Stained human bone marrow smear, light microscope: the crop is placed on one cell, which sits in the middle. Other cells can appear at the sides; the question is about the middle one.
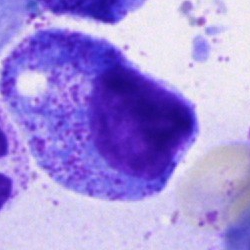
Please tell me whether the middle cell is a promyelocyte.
yes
